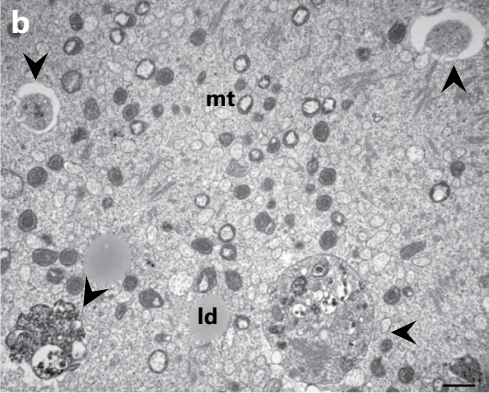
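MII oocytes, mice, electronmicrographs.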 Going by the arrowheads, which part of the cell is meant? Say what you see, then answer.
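Autophagic-like vesicles. The arrowheads point to rounded membrane-bound compartments much larger than the mitochondria. Some contain heterogeneous dense and membranous material. One is separated from the surrounding cytoplasm by a wide pale rim.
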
